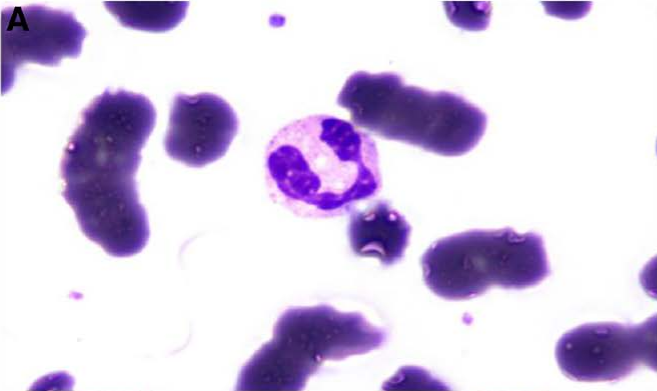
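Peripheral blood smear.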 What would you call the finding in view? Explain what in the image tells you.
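Red cells lie stacked face to face in elongated dark columns. The stacks are much longer than a single red cell. A single white cell lies between the stacks. So: rouleaux arrangement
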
